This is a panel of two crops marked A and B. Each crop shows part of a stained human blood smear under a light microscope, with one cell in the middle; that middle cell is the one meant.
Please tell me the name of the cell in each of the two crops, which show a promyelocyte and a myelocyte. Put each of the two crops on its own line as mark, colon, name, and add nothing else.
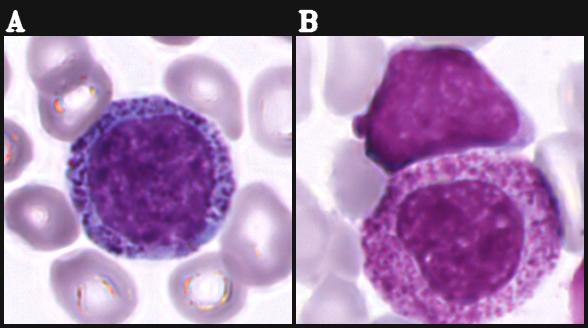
A: promyelocyte
B: myelocyte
